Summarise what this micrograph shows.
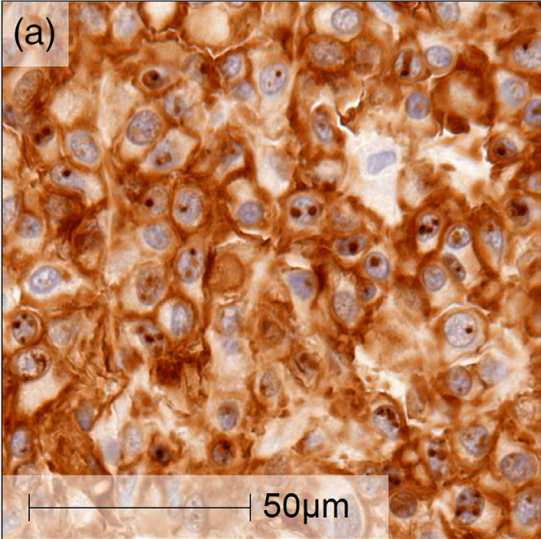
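Sheets of large, round to polygonal tumour cells with ample cytoplasm fill the field. Their nuclei are oval to round, pale blue and vesicular, many with one or two dark prominent nucleoli. Cells vary somewhat in size and shape and lie closely packed without glands or clear layering. This is a tumour whose cells almost all stain with high intensity over more than most of the area, a strongly positive sample.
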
